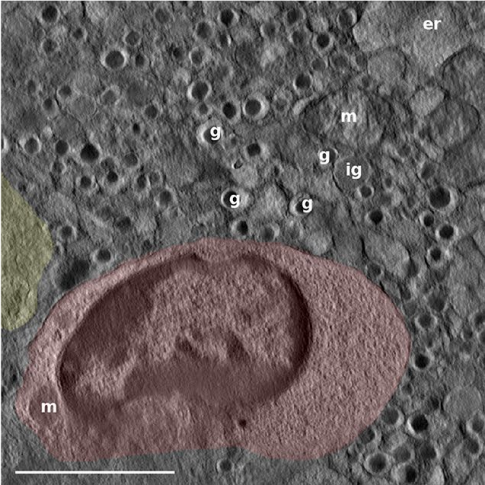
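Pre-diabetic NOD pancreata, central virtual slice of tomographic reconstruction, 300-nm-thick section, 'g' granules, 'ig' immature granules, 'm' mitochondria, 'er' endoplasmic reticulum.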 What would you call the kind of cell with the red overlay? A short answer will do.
invading immune cell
